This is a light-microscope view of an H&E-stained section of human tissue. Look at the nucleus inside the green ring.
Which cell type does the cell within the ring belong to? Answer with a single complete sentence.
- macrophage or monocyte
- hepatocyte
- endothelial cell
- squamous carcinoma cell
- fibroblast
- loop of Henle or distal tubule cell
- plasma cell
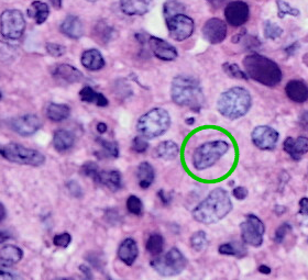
Placed in its cell category, the cell within the ring is a macrophage or monocyte.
